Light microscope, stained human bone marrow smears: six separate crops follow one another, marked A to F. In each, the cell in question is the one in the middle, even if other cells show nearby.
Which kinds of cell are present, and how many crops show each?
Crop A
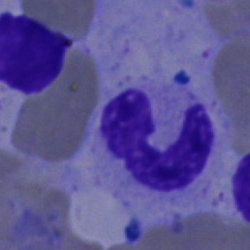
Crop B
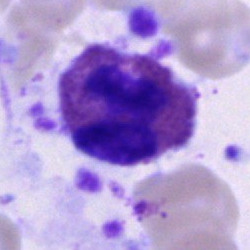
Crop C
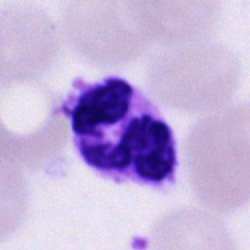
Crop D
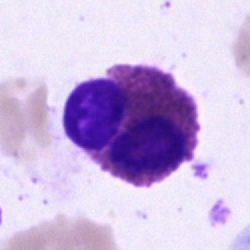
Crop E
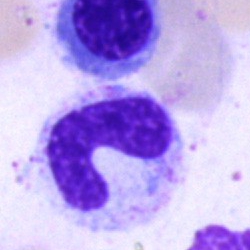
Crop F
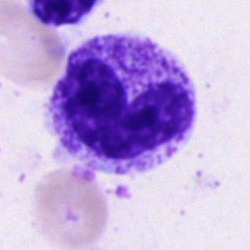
segmented neutrophil: 2
eosinophil: 2
band neutrophil: 2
